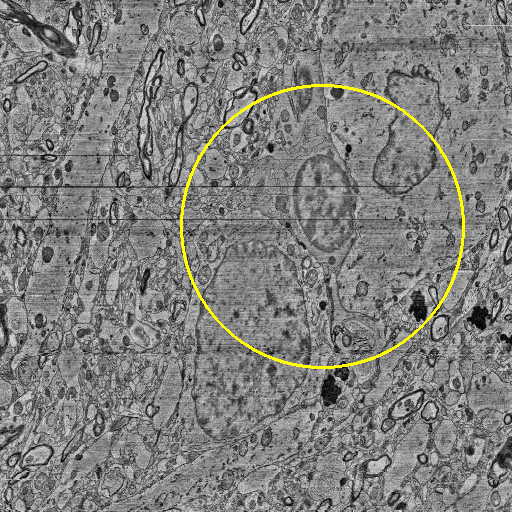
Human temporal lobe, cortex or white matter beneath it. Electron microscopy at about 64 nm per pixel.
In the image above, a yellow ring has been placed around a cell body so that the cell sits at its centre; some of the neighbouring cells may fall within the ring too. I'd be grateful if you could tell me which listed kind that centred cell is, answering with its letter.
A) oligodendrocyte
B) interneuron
A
